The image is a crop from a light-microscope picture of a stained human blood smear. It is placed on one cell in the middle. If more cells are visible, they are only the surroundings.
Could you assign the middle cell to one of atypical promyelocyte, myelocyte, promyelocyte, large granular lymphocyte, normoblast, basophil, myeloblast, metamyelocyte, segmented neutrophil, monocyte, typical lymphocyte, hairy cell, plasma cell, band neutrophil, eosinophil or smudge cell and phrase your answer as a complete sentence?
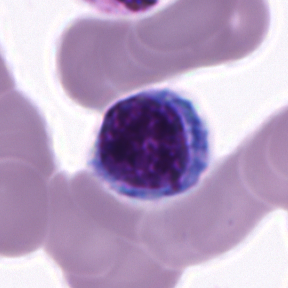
Seen at the centre of the crop is a plasma cell.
